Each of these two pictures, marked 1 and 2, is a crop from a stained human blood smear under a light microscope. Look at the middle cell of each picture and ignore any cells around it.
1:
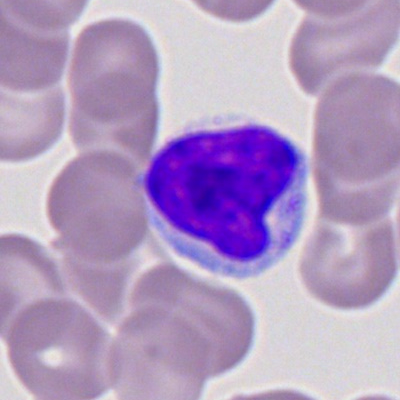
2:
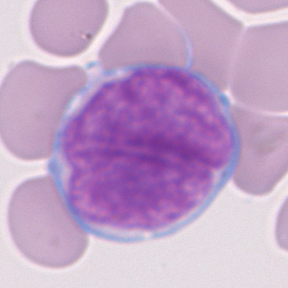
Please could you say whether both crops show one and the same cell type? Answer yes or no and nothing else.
no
